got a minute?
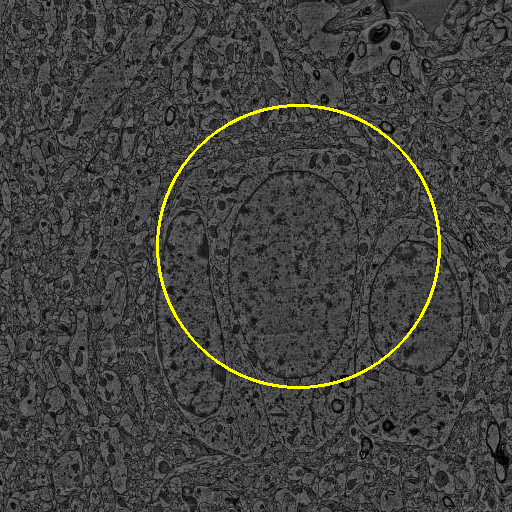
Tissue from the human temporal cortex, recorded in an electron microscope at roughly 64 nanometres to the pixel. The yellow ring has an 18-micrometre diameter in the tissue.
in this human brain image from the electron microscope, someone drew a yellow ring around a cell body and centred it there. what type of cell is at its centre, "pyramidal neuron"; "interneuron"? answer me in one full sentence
It's a pyramidal neuron at the middle of that yellow ring in the shot.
